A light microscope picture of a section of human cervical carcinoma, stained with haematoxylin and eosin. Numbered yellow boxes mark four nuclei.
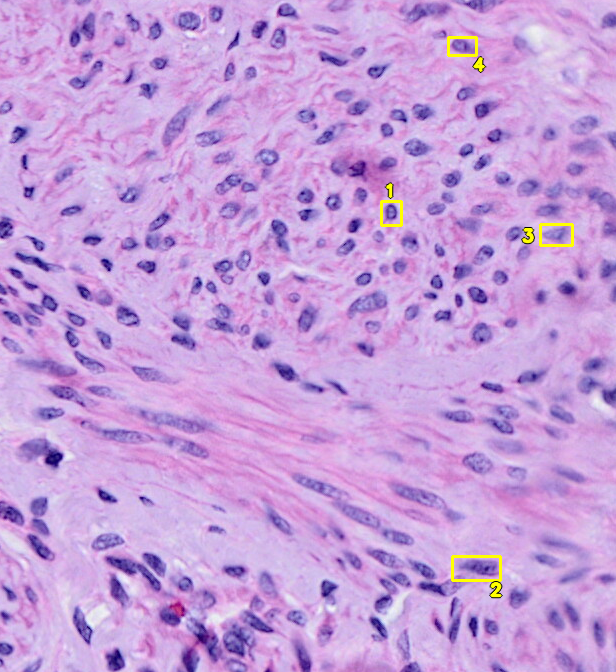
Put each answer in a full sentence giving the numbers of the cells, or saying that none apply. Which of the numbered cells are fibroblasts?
Cell 2 is the one numbered cell that is a fibroblast.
